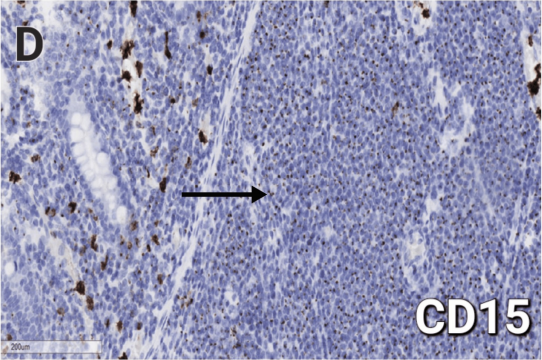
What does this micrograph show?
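A diffuse sheet of densely packed, small to medium round tumor cells with blue-stained nuclei and scant cytoplasm fills most of the field. Many of these cells carry a single tiny brown dot within the cytoplasm, while the cells themselves stay otherwise blue. A thin fibrous band separates the sheet from a region on the left containing a gland with pale epithelium, around which scattered cells are strongly and entirely stained brown.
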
